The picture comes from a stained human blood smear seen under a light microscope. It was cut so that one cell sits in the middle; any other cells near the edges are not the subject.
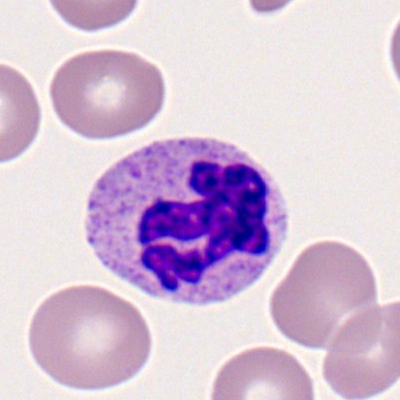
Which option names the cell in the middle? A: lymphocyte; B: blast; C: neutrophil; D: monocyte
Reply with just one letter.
C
